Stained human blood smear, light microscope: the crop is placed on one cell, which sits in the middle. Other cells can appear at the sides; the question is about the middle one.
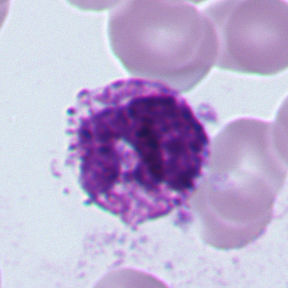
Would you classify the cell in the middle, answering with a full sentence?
The central cell shown in this smear crop is a basophil.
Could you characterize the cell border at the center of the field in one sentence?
The cell outline lacks smoothness, being ragged or extended into projections.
